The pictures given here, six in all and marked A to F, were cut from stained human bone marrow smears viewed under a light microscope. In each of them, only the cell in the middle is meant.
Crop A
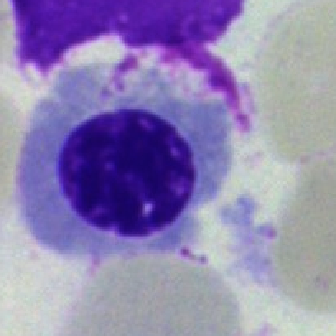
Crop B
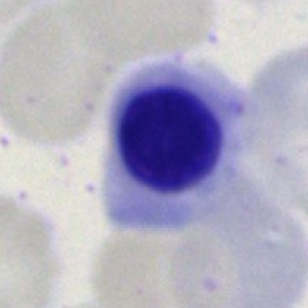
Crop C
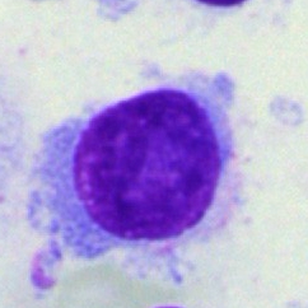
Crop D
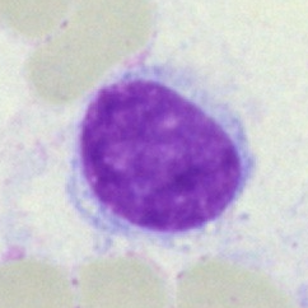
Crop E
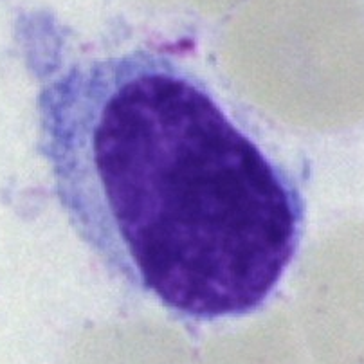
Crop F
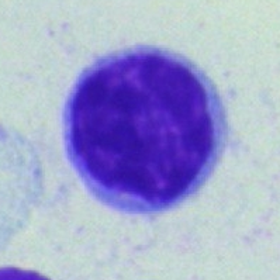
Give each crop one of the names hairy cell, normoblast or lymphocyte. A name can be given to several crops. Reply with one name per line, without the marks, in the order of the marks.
normoblast
normoblast
hairy cell
hairy cell
hairy cell
lymphocyte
